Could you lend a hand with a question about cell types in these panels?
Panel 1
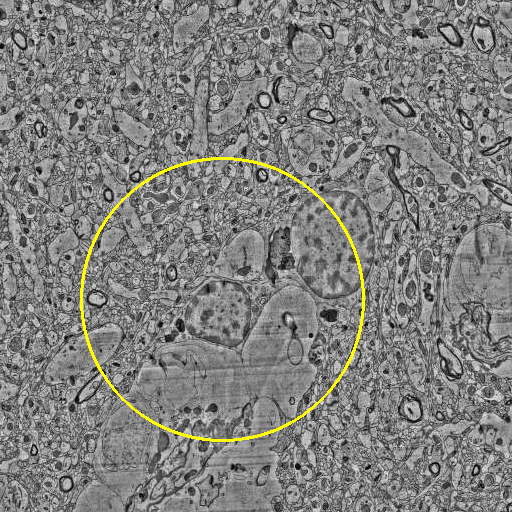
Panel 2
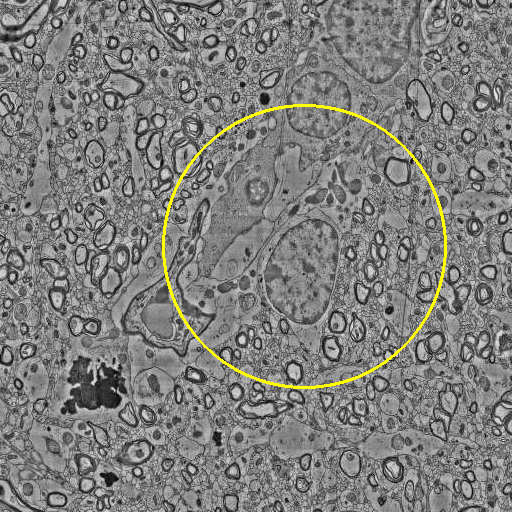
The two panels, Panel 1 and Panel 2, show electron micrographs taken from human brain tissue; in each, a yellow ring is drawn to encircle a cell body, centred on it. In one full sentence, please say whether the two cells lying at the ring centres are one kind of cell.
Yes, the cells at the ring centres in the two panels are one kind of cell.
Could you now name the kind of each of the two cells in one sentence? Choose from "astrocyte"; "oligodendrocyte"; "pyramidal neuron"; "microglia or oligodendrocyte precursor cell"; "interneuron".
Both pictures show a microglial cell or oligodendrocyte precursor cell at the centre of the ring.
